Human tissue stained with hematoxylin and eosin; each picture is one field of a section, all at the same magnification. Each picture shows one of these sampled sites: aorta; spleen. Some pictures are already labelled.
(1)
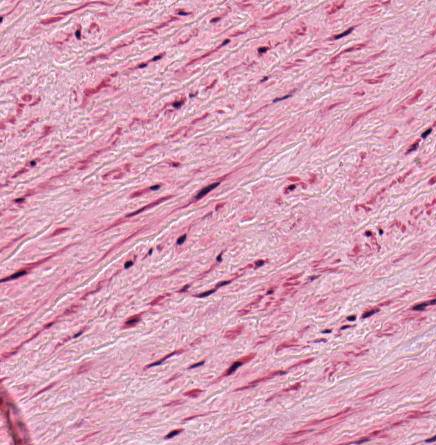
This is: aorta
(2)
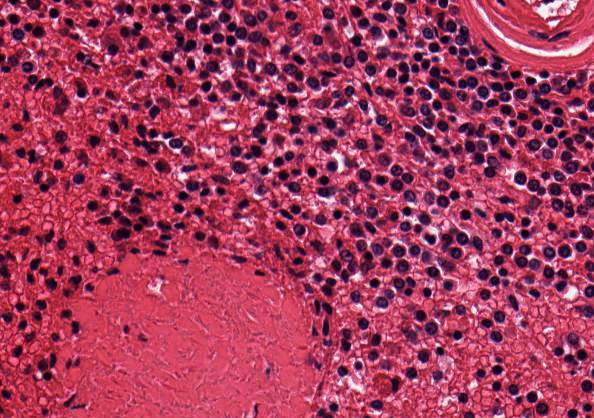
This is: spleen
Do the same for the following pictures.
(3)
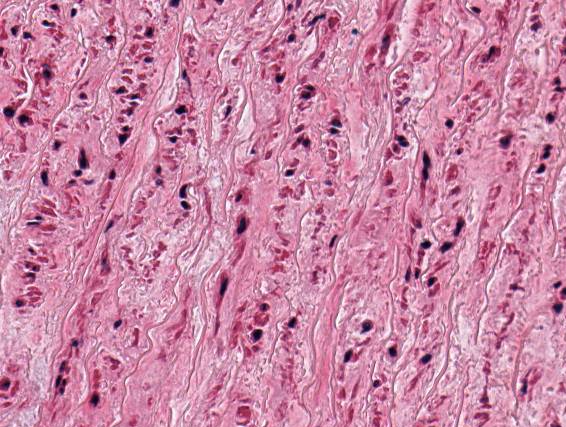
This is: aorta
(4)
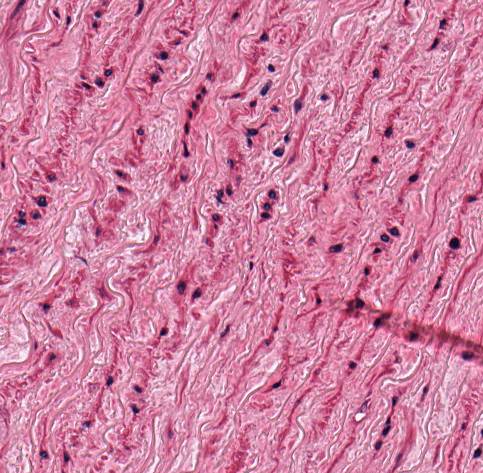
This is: aorta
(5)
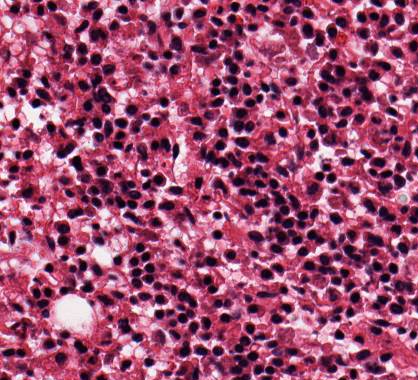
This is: spleen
